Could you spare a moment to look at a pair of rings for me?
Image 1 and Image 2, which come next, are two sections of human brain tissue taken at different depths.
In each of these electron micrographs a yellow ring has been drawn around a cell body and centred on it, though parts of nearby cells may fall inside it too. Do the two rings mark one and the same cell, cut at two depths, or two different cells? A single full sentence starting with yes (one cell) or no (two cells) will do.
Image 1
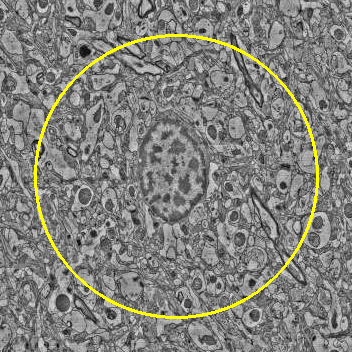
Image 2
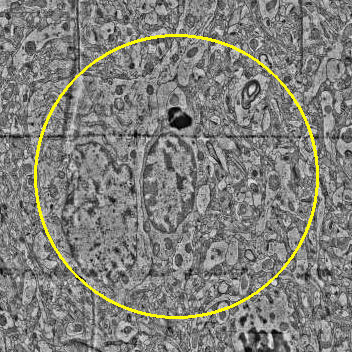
No, the two rings outline two separate cells in this micrograph.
